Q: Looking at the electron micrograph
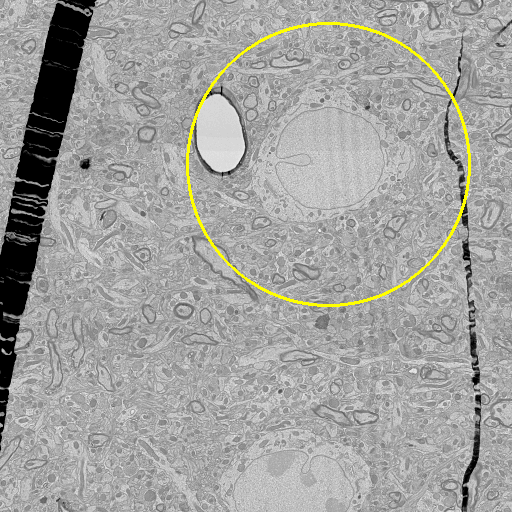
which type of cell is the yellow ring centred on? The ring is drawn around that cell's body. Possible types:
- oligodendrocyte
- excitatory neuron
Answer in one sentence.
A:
The yellow ring is centred on an excitatory neuron.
